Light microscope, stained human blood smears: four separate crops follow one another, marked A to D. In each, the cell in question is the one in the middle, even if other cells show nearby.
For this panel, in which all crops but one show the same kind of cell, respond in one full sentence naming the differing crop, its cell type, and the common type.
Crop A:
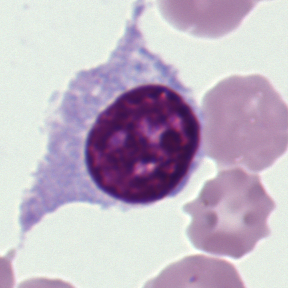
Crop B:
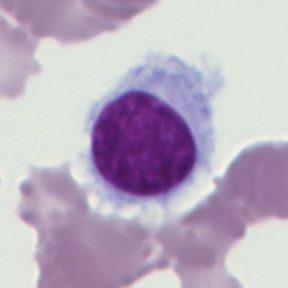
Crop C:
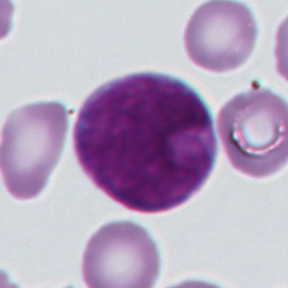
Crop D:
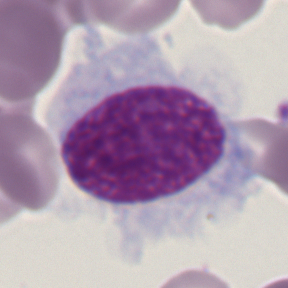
As the exception to the hairy cells in the other crops, crop C shows a myeloblast.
